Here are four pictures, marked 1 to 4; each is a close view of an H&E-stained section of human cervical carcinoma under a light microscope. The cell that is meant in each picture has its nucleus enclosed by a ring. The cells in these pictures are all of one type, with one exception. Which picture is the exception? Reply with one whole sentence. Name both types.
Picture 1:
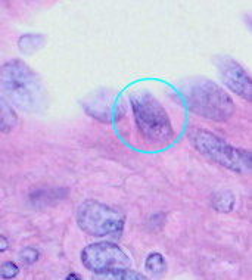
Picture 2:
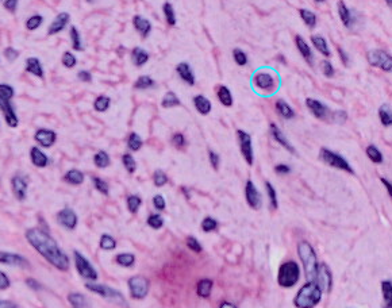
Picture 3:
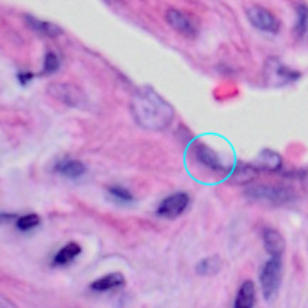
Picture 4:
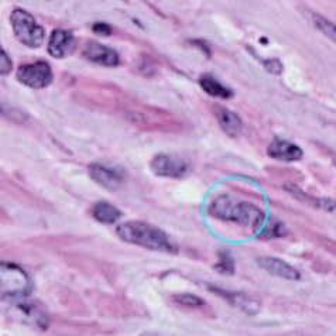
Picture 2 differs, because its cell is a smooth muscle cell and the rest are endothelial cells.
